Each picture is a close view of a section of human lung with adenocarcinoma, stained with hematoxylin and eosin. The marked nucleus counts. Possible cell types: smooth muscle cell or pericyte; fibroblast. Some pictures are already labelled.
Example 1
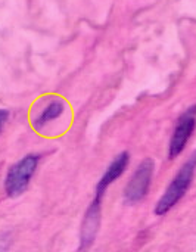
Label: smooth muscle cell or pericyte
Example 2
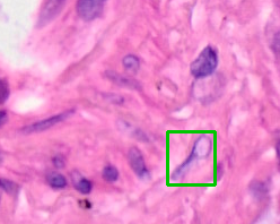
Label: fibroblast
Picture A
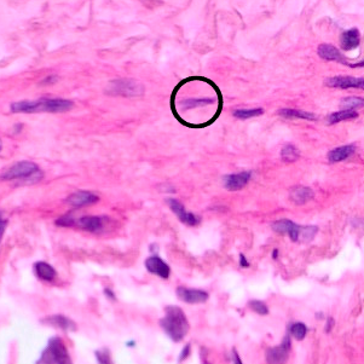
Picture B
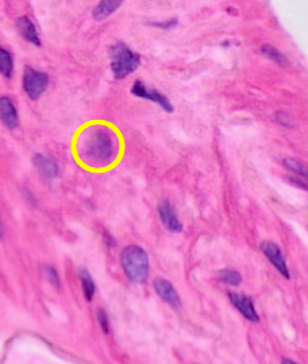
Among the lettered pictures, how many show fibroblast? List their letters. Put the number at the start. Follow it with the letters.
0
